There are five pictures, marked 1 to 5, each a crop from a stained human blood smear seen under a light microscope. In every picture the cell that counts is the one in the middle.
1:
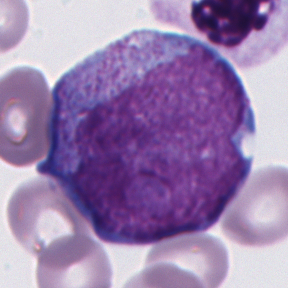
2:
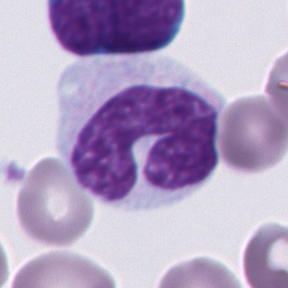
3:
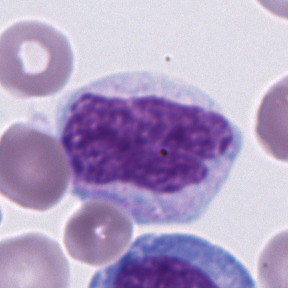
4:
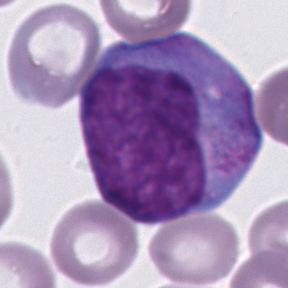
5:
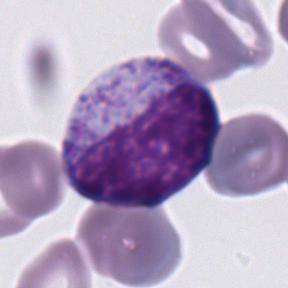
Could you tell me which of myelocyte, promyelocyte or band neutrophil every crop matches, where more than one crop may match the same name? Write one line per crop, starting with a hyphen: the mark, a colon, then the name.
- 1: promyelocyte
- 2: band neutrophil
- 3: myelocyte
- 4: promyelocyte
- 5: myelocyte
